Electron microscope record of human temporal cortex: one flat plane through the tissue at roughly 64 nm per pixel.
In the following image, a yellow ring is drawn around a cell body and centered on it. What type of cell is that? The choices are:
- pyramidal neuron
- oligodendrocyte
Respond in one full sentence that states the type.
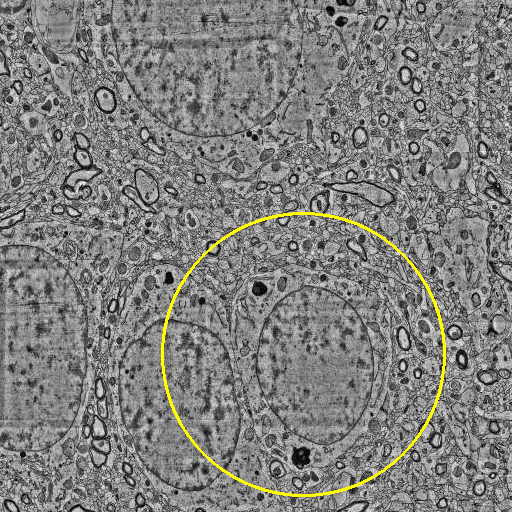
The cell at the center of the yellow ring in the image is a pyramidal neuron.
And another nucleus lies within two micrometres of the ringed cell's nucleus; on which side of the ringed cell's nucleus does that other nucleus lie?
The second nucleus lies to the left of it.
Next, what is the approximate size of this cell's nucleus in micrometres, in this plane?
Approximately 10 micrometres long and 8 micrometres wide, in this plane.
